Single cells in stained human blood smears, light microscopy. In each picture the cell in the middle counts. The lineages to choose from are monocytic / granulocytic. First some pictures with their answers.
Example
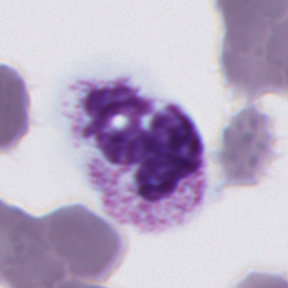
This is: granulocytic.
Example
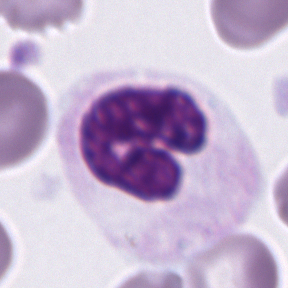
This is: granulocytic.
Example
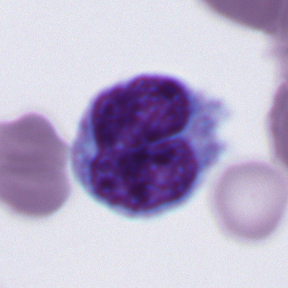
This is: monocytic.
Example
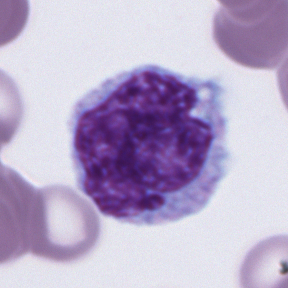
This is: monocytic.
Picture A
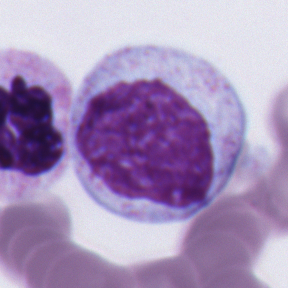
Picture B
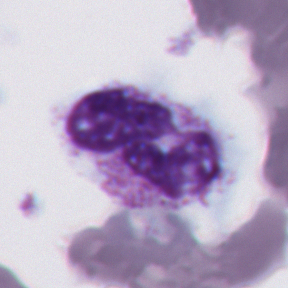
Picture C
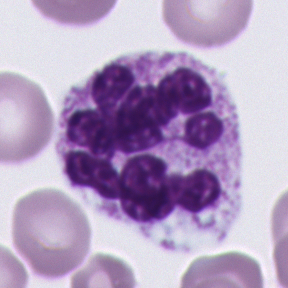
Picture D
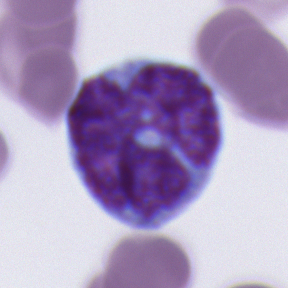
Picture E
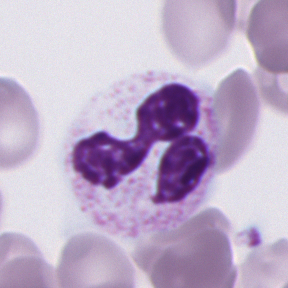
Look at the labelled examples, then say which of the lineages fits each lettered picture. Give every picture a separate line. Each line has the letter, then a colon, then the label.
A: granulocytic.
B: granulocytic.
C: granulocytic.
D: monocytic.
E: granulocytic.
